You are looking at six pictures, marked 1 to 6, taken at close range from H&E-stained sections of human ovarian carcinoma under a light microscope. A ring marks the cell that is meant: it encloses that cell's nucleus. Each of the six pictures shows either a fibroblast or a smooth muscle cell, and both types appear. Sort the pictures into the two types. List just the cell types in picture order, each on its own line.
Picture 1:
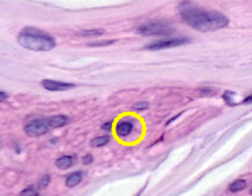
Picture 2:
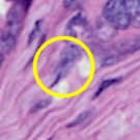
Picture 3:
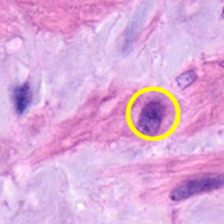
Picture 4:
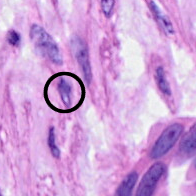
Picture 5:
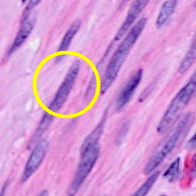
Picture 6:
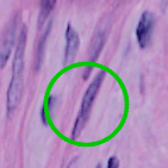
smooth muscle cell
fibroblast
smooth muscle cell
fibroblast
smooth muscle cell
smooth muscle cell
